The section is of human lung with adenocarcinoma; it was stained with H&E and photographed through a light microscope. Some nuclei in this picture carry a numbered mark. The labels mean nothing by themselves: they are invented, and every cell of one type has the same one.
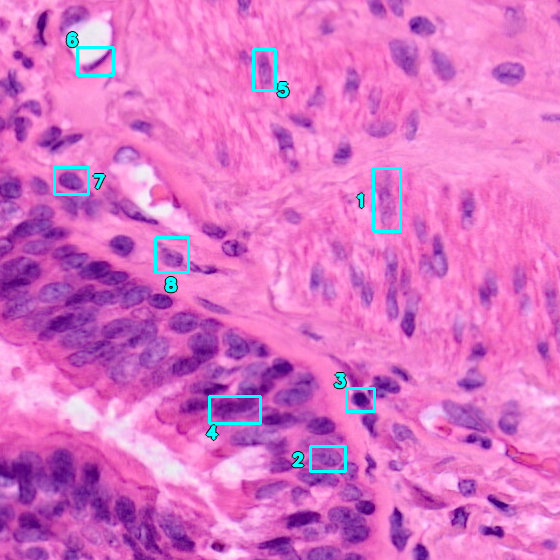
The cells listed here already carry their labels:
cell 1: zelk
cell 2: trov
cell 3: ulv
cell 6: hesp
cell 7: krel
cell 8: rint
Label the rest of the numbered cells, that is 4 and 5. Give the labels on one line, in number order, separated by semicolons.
trov; zelk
